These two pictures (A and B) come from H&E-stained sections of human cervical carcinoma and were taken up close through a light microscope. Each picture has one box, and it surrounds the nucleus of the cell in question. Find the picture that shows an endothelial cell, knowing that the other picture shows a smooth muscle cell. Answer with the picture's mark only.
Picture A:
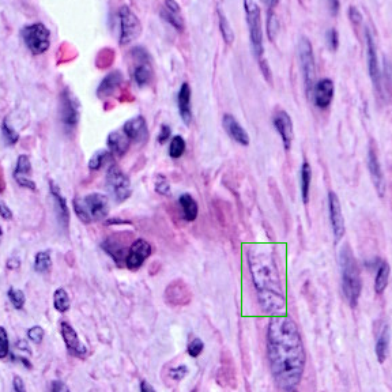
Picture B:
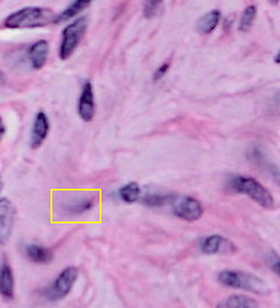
A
